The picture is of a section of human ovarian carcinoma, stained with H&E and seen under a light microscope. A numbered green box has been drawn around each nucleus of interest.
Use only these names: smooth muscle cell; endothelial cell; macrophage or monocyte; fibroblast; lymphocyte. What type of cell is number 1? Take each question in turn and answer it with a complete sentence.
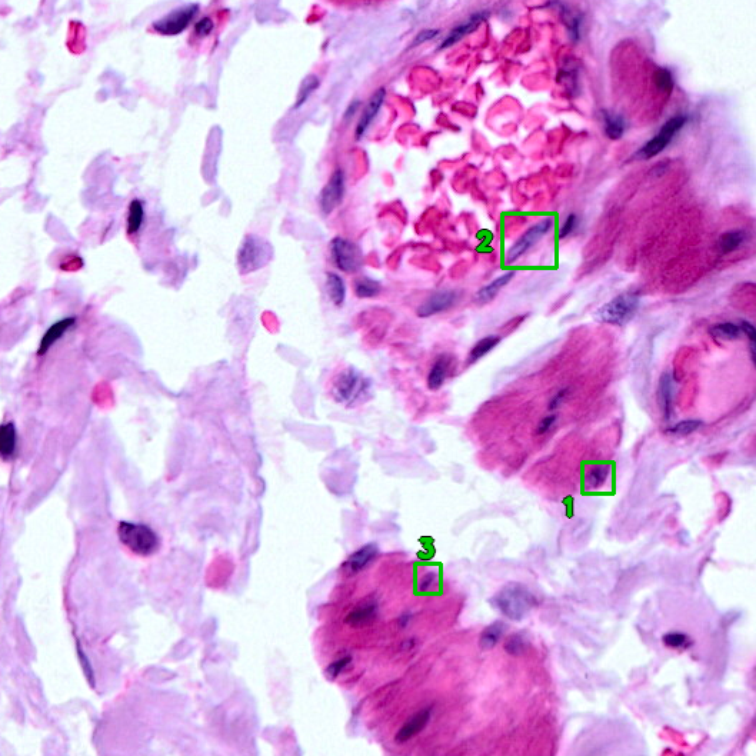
Marked with the number 1, this cell is a smooth muscle cell.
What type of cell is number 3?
Corresponding to a smooth muscle cell is the cell labelled 3.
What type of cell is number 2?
The cell referred to as 2 is an endothelial cell.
